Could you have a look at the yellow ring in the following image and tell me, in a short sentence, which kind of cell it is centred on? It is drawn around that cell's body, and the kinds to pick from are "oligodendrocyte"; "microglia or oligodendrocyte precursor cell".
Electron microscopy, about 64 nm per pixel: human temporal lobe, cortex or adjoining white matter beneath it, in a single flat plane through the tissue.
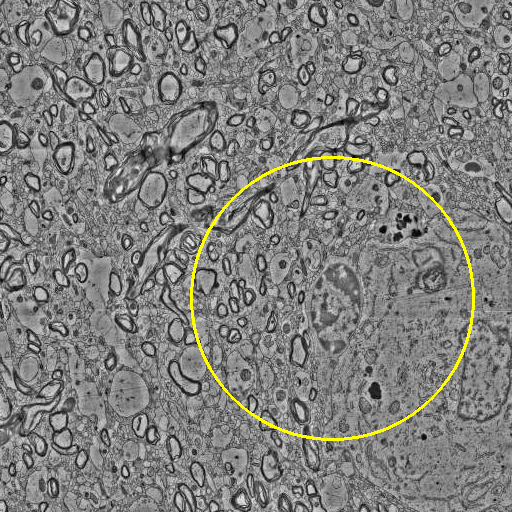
The ring is centred on the body of a microglial cell or oligodendrocyte precursor cell.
